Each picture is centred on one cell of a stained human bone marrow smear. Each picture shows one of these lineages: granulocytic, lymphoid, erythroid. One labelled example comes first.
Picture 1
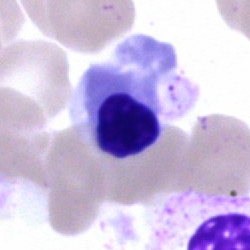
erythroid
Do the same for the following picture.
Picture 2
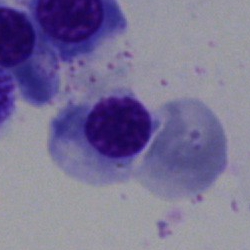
erythroid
